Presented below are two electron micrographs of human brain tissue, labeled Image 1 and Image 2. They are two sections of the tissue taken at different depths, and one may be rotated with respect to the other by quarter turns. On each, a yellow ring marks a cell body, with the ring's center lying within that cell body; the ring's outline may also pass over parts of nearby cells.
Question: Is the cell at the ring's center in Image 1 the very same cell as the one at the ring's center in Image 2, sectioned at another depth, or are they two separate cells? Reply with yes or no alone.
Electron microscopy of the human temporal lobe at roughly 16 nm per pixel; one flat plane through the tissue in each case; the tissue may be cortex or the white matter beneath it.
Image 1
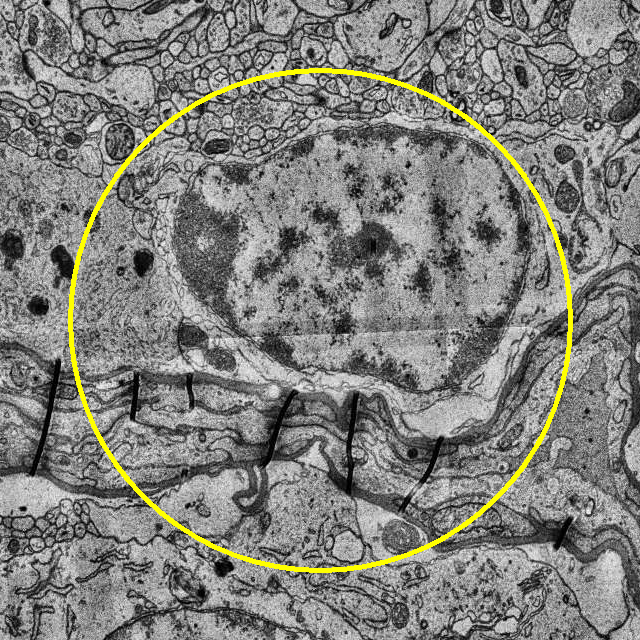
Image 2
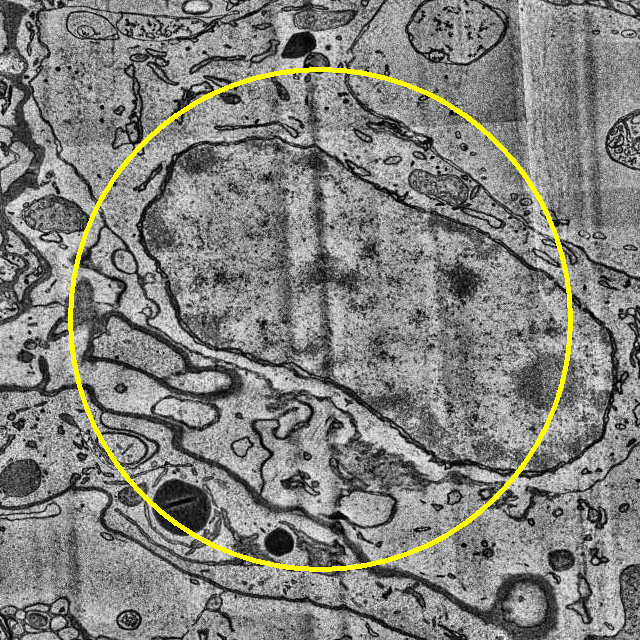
no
